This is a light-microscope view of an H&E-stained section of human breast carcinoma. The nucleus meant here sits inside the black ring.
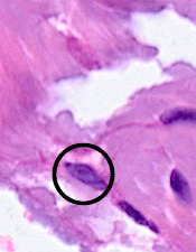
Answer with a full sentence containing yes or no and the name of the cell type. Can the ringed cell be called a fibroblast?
Yes, in this section the ringed cell is a fibroblast.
